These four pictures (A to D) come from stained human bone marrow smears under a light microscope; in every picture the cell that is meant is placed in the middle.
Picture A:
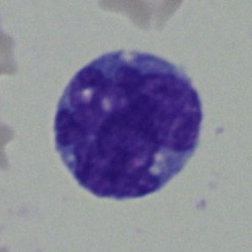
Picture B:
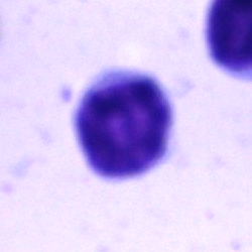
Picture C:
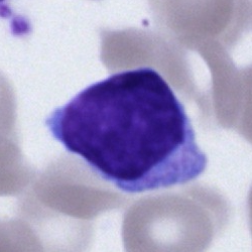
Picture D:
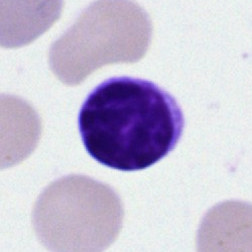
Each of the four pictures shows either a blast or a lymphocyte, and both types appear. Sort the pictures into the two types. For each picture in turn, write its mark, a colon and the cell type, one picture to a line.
A: blast
B: lymphocyte
C: lymphocyte
D: lymphocyte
